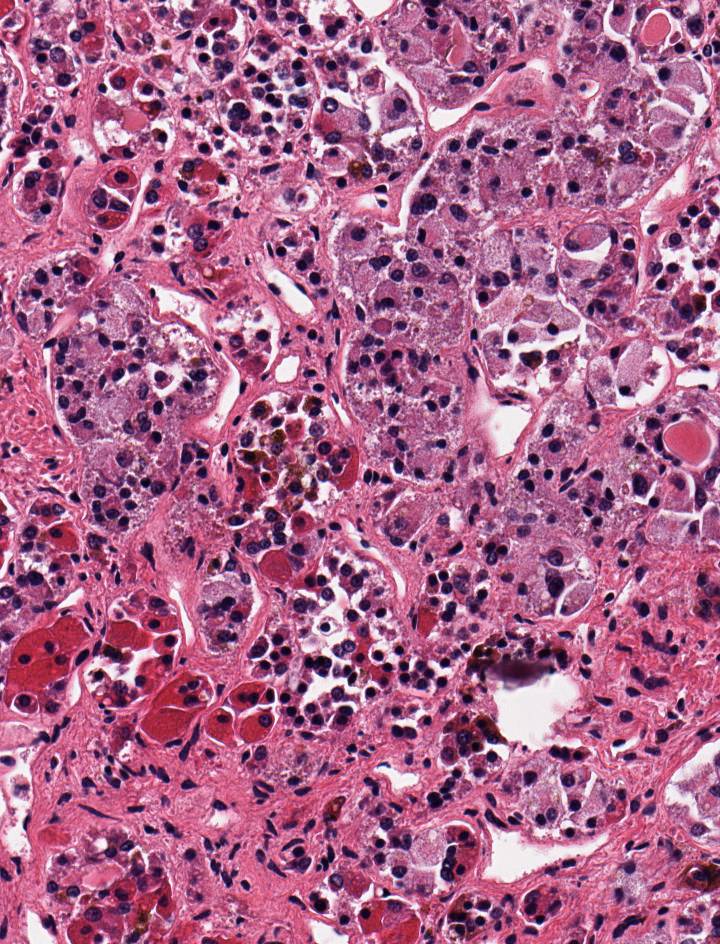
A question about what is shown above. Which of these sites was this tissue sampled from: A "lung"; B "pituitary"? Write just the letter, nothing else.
B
